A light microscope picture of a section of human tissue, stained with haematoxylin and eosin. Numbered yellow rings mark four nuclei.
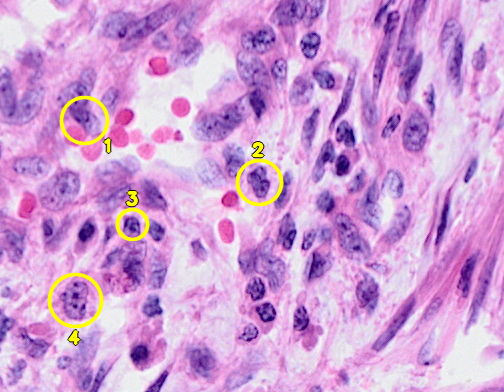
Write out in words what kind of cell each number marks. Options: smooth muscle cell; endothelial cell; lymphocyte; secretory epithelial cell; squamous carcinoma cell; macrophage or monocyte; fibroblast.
Cell 1 is an endothelial cell. Cells 2 and 3 are lymphocytes. Cell 4 is a macrophage or monocyte.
